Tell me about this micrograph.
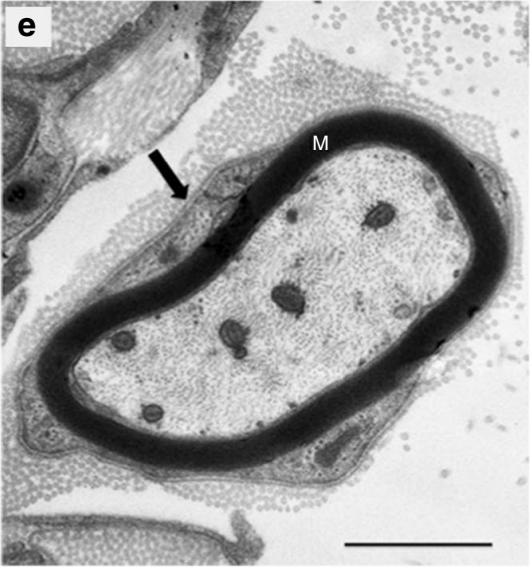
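A single oval axon, filled with fine filaments and a few mitochondria, is encircled by a thick, uniformly dark, compact sheath of myelin, surrounded in turn by a thin rim of glial cytoplasm. The outer surface of this wrapping cell carries a thin continuous basal lamina, and the space around is filled with cross-cut collagen fibrils.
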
